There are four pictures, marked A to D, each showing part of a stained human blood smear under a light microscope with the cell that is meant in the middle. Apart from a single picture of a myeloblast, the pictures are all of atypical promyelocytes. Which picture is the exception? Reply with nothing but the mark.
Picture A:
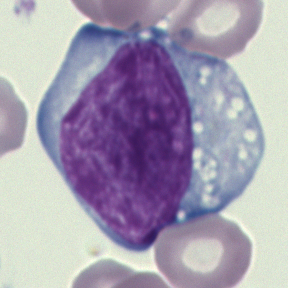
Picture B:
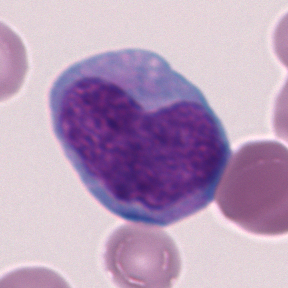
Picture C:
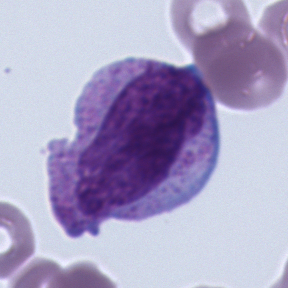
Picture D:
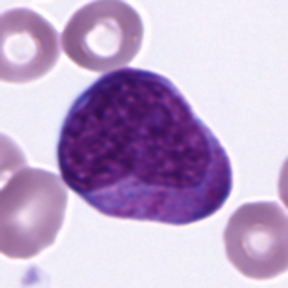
A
